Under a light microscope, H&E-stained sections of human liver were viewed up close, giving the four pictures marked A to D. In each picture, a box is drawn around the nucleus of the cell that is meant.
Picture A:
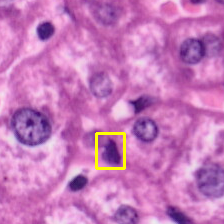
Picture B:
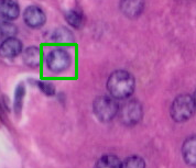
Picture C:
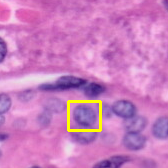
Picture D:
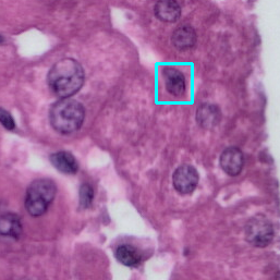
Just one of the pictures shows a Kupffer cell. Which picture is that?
D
